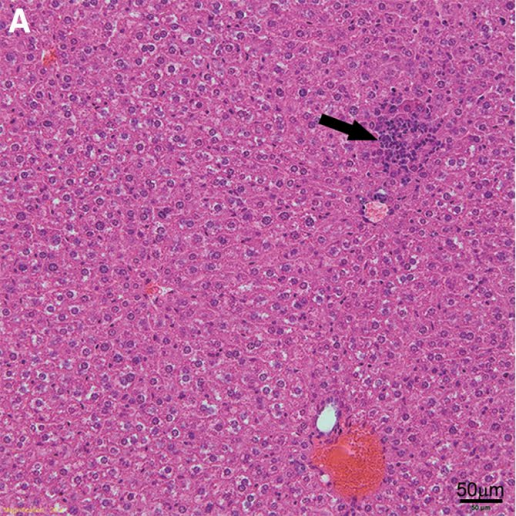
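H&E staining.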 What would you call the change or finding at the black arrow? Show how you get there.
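A small cluster of densely packed, dark purple nuclei lies among the hepatocytes. The cluster's nuclei are smaller and darker than the surrounding hepatocyte nuclei.
Conclusion: small inflammation focus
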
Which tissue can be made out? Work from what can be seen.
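Livers. Polygonal cells with round central nuclei and pink cytoplasm fill the field in cords. Small vessels lie scattered between the cell cords.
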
